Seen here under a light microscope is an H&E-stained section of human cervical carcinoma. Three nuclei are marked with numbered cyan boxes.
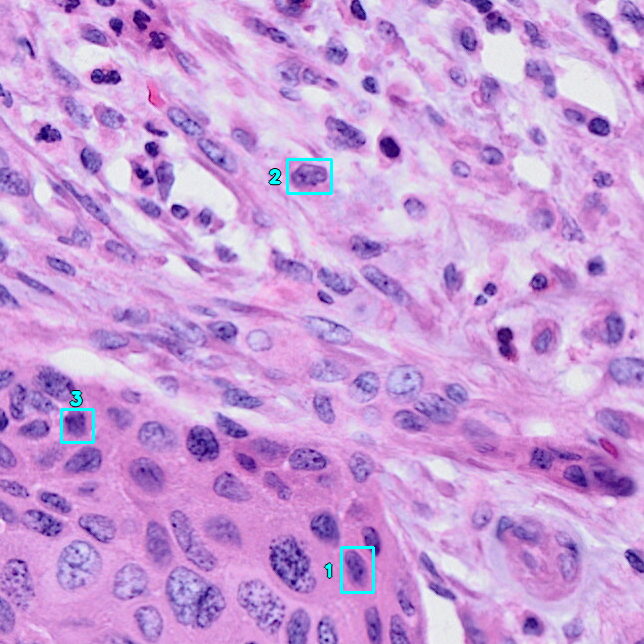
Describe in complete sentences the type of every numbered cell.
Cell 1 is a squamous carcinoma cell, cell 2 is a macrophage or monocyte and cell 3 is a squamous carcinoma cell.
